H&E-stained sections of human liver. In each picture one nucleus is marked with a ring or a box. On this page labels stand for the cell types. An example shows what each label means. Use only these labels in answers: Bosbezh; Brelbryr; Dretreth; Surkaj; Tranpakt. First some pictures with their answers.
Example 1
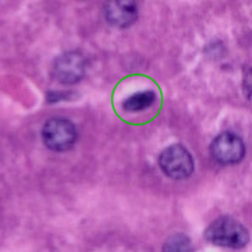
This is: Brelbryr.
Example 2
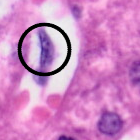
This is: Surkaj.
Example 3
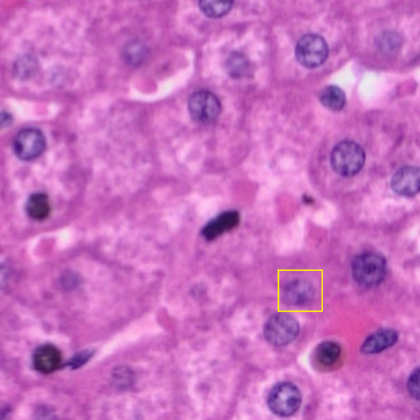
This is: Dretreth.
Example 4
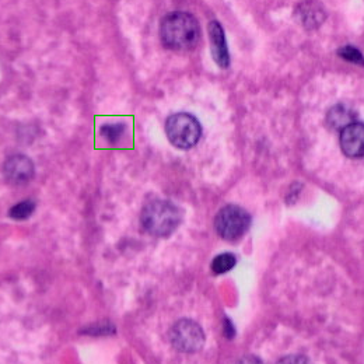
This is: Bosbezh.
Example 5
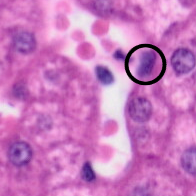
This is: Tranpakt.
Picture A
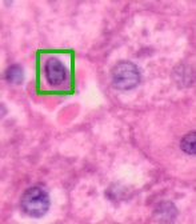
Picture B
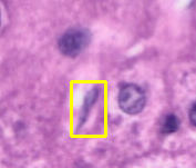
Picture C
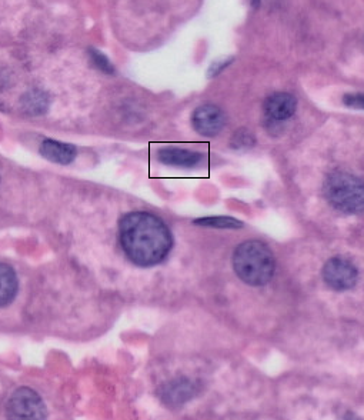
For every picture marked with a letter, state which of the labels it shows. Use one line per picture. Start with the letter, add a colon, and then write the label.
A: Surkaj.
B: Surkaj.
C: Surkaj.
